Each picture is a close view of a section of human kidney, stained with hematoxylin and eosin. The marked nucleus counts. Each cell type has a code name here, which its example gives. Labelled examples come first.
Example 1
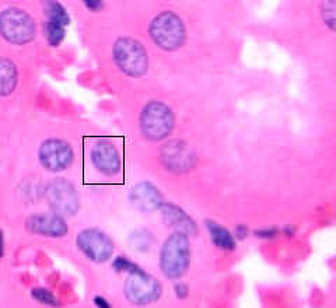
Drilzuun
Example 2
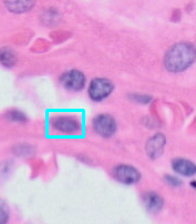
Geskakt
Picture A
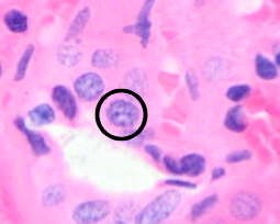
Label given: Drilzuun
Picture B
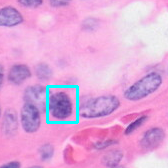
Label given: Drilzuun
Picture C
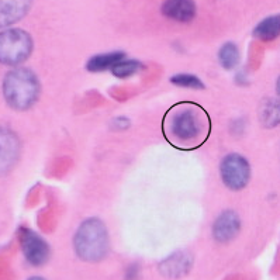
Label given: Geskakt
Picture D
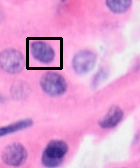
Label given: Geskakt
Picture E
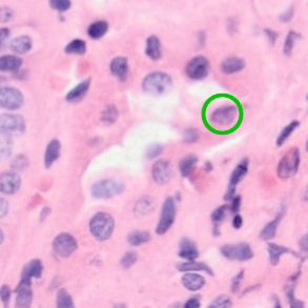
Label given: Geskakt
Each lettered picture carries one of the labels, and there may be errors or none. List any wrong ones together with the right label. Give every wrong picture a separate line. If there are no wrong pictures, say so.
All correct.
